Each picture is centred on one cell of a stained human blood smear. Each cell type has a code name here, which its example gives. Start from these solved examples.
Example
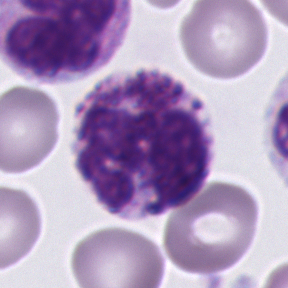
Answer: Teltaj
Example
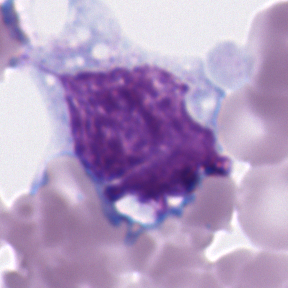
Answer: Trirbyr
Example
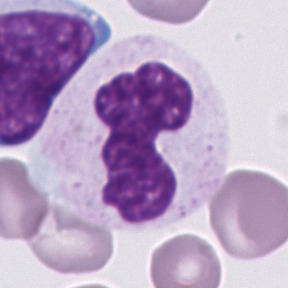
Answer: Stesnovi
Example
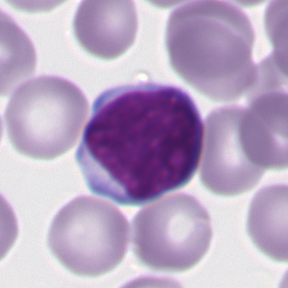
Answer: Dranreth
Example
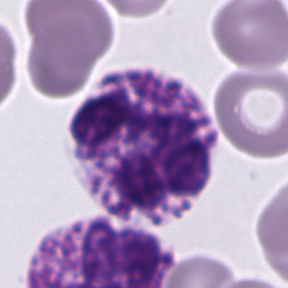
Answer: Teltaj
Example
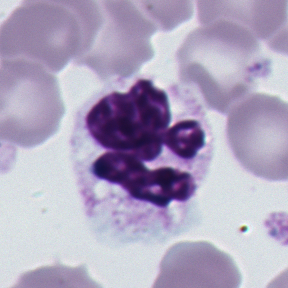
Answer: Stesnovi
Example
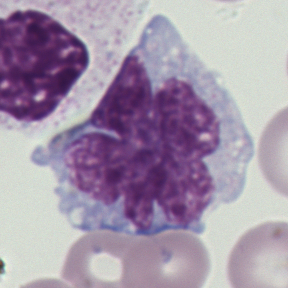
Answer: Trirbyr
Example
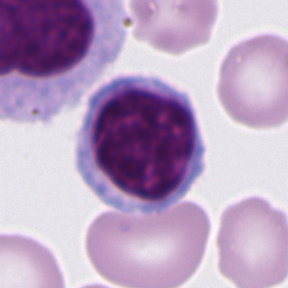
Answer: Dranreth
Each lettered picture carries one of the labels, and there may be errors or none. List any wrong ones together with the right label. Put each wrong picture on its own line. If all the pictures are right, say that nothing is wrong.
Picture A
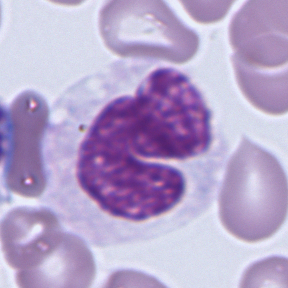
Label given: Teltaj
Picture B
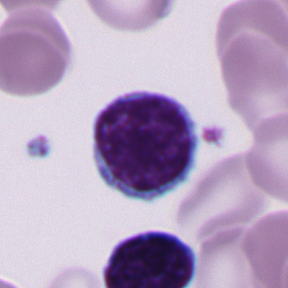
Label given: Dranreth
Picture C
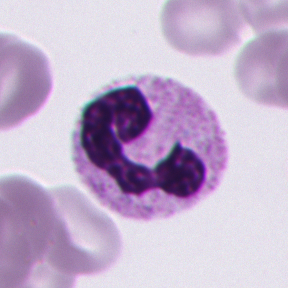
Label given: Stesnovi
A: not Teltaj but Stesnovi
